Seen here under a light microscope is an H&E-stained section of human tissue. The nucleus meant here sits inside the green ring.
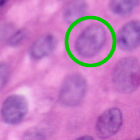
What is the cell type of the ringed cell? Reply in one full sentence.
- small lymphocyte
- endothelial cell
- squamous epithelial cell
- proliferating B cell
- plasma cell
The identity of the ringed cell is that of a squamous epithelial cell.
